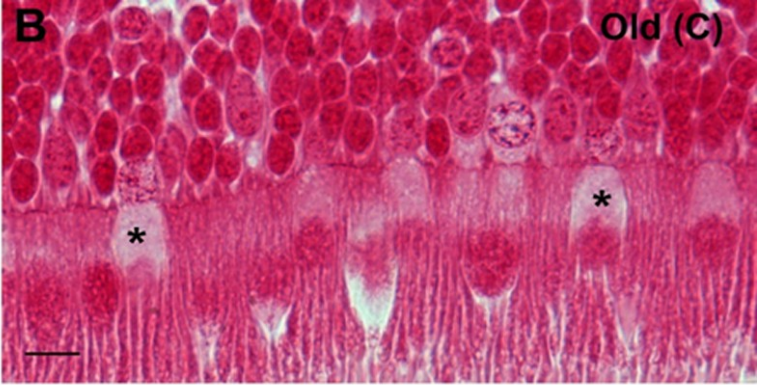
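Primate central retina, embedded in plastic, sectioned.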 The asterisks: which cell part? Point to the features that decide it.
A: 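The asterisks lie in pale, widened regions of photoreceptors just below the row of nuclei. That points to this answer: inner segment.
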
